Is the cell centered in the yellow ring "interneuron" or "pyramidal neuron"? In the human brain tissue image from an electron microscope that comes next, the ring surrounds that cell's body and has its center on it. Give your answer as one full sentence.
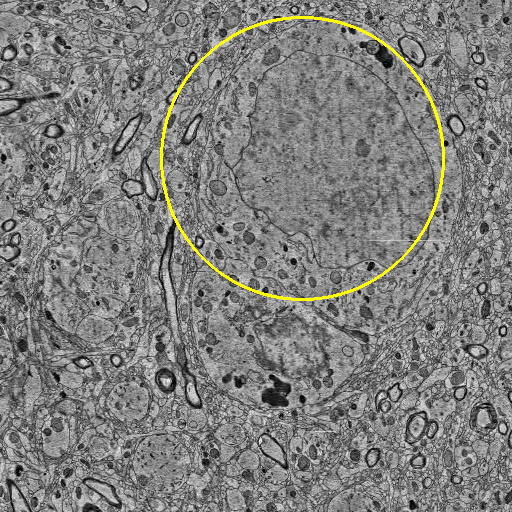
The cell at the center of the yellow ring is a pyramidal neuron in the micrograph.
